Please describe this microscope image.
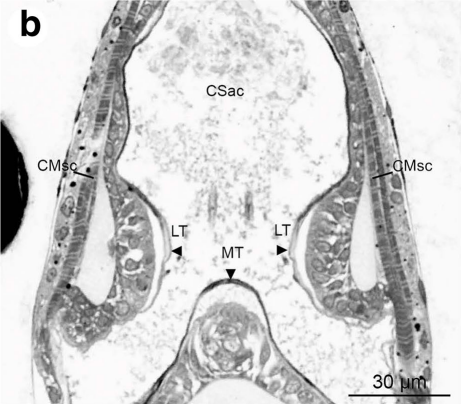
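The wide lumen in the middle holds loose, pale granular contents. On each side the stomach wall is a layer of cells with rounded nuclei, lined on the lumen side by cuticle. Long bands of striated muscle run alongside that wall. Two lateral projections bulge into the lumen from the sides, and one median projection rises from below. Where these projections face the lumen, their cuticle is dense and darker.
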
